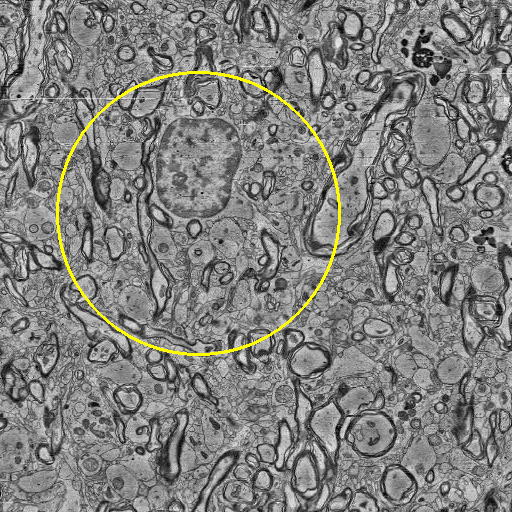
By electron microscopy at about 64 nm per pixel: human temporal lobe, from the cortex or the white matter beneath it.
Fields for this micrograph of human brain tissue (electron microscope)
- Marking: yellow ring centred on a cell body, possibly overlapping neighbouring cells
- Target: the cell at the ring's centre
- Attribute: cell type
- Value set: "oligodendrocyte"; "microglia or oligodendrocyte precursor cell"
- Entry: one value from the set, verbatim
microglia or oligodendrocyte precursor cell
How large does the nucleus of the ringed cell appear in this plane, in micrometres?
The nucleus of the ringed cell is approximately 7 by 5 micrometres in this plane.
